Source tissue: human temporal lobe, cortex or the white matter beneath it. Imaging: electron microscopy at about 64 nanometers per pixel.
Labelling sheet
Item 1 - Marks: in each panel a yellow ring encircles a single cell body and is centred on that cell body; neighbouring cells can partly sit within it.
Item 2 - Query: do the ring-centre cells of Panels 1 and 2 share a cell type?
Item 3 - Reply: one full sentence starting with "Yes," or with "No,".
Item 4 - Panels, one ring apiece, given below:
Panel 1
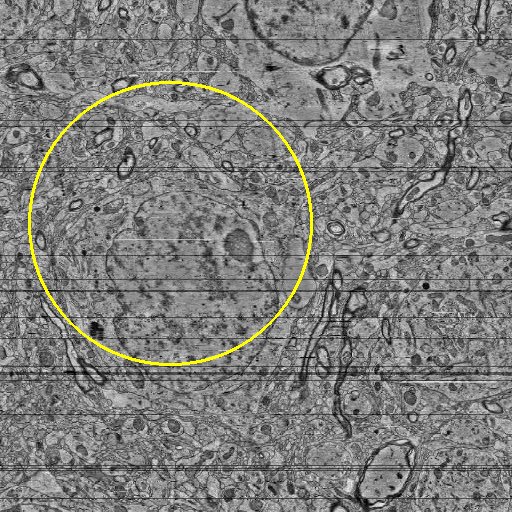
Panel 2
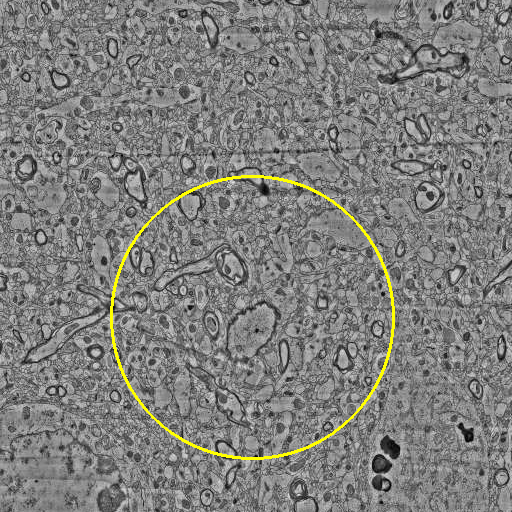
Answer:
Yes, Panel 1 and Panel 2 show one cell type at the centres of their rings.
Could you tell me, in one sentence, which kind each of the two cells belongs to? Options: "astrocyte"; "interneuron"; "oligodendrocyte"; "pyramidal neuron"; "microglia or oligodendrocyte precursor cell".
Each one of the two ringed cells is a pyramidal neuron.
